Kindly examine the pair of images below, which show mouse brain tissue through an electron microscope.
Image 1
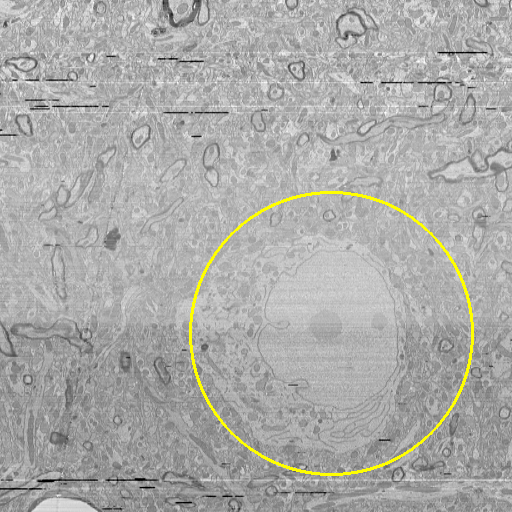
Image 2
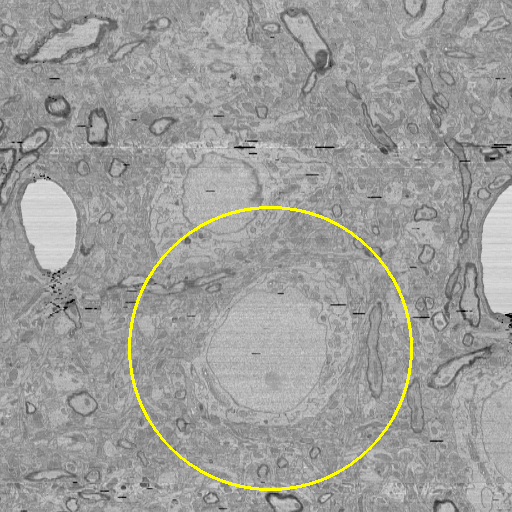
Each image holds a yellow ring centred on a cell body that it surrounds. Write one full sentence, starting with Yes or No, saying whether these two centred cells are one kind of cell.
Yes, both cells at the centres of the yellow rings belong to one kind of cell.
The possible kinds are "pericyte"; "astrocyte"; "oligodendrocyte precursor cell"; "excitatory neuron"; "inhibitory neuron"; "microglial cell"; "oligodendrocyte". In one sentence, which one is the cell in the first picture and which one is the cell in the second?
In each of the two pictures, the ringed cell is an excitatory neuron.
